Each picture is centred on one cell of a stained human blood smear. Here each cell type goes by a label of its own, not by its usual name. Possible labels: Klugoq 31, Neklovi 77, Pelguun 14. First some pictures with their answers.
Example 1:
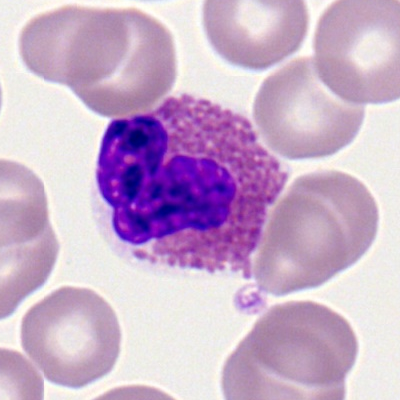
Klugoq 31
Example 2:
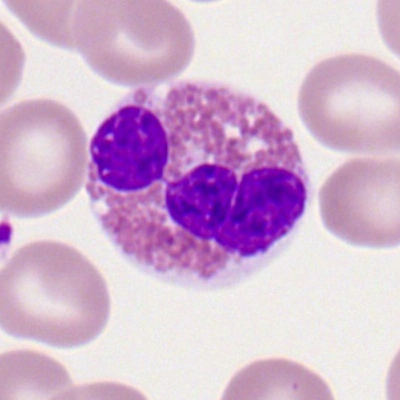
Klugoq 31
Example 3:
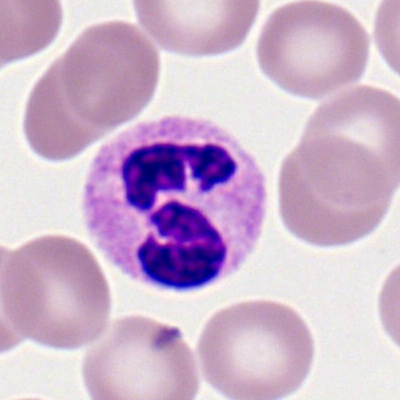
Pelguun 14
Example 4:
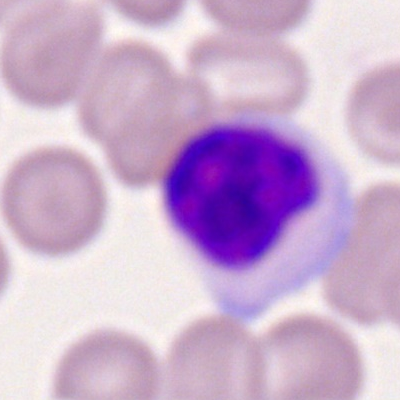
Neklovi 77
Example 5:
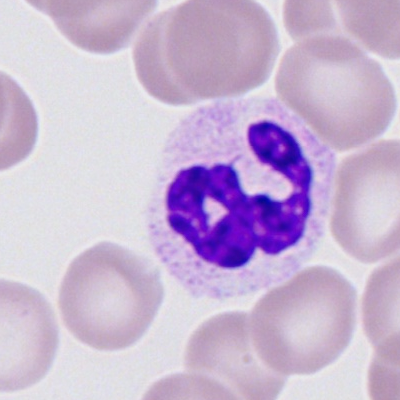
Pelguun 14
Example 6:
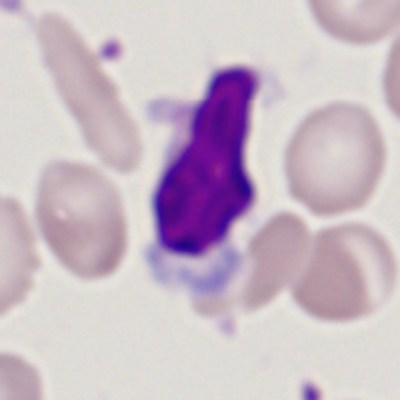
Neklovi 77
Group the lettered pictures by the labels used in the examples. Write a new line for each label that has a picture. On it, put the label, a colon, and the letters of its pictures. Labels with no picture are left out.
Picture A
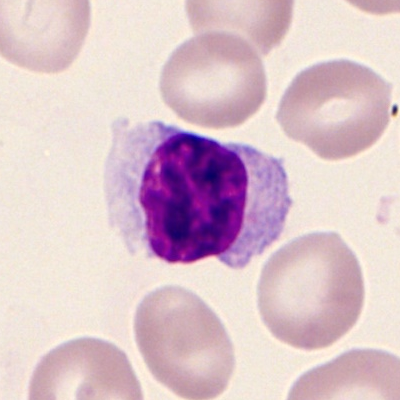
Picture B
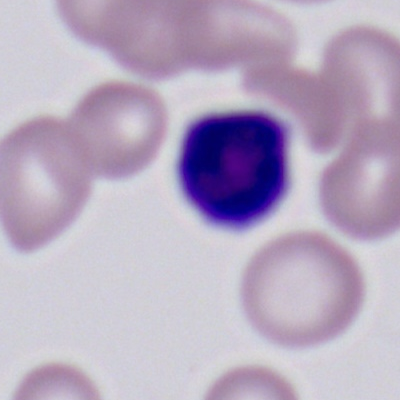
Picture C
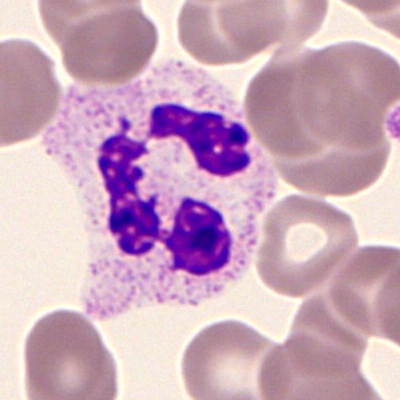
Neklovi 77: A, B
Pelguun 14: C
